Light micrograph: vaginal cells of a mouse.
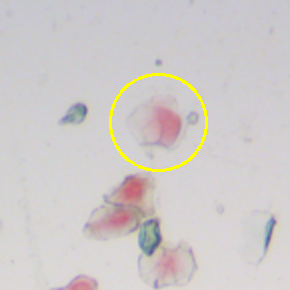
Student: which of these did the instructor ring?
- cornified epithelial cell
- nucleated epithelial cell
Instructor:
The cell I ringed is a cornified epithelial cell.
